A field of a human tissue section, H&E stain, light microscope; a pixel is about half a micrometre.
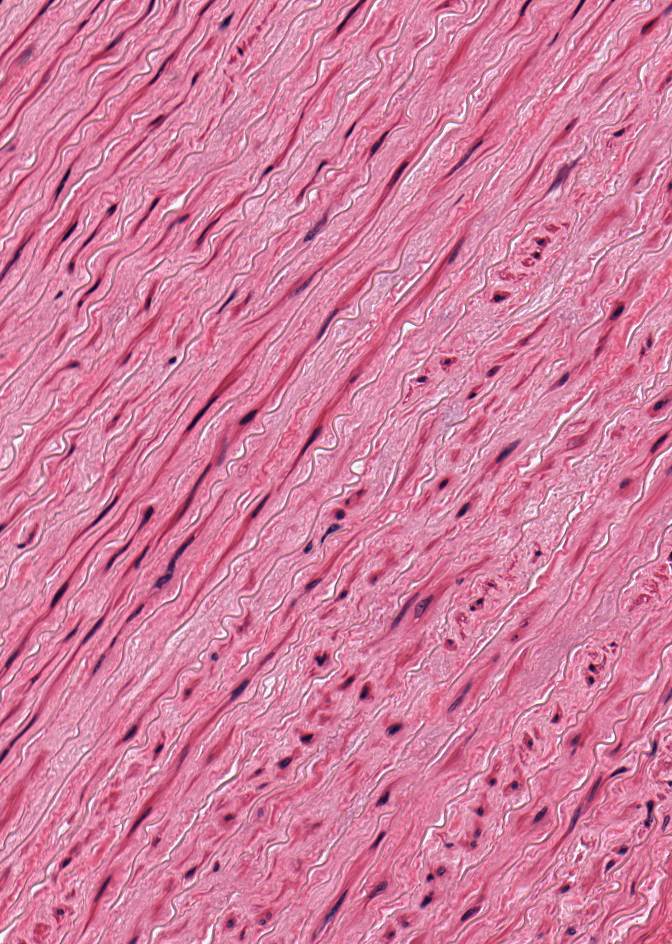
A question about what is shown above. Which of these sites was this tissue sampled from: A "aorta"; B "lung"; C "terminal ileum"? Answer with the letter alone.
A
